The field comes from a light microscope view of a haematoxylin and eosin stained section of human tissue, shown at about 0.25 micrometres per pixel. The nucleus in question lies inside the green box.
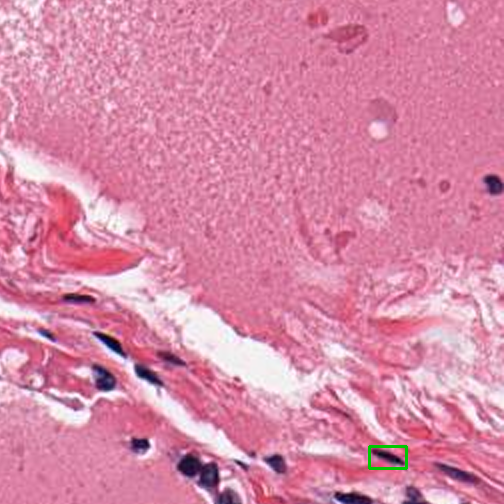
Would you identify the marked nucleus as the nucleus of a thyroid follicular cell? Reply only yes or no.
no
